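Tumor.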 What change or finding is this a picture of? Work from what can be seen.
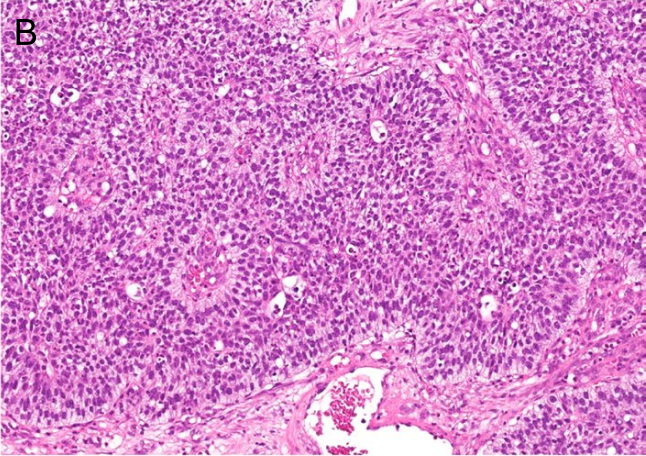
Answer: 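Elongated cells line up side by side along the stromal borders. Their nuclei lie away from the basement membrane rather than at the base.
Answer: palisading pattern of columnar cells with reverse polarity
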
